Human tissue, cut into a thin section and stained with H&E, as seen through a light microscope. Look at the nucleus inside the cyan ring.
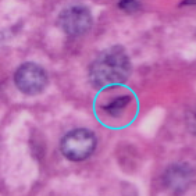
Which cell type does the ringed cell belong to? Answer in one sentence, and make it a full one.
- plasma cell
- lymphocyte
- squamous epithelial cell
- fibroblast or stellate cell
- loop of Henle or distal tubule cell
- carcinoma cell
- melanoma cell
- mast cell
Typologically, the ringed cell is a fibroblast or stellate cell in this section.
